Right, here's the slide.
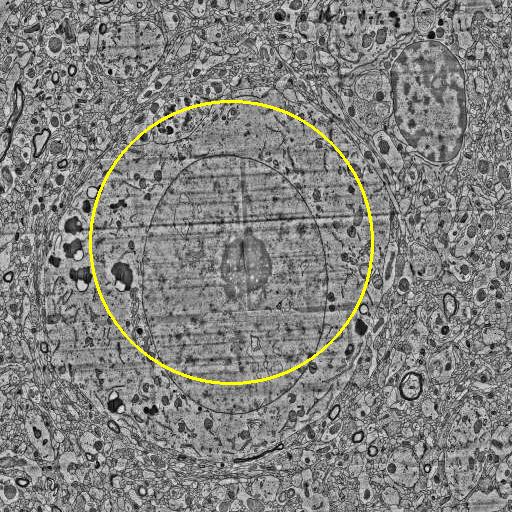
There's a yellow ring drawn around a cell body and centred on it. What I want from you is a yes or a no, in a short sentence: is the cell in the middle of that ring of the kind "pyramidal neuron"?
Yes, it's of that kind.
